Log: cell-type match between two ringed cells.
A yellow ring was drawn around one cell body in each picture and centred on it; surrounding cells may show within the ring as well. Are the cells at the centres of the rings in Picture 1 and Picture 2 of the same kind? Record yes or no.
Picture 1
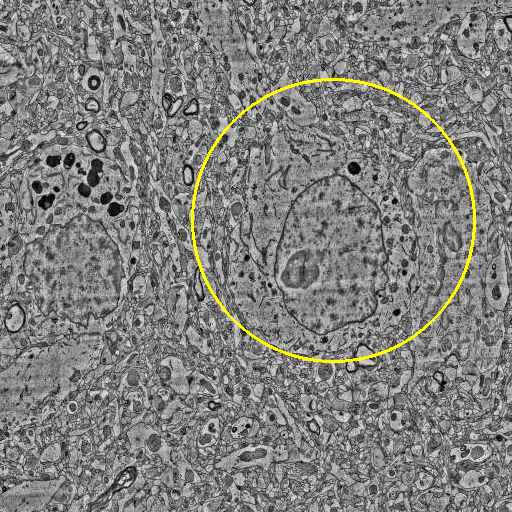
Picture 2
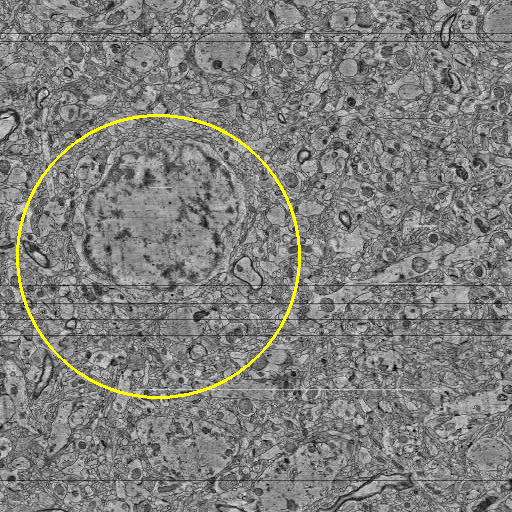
no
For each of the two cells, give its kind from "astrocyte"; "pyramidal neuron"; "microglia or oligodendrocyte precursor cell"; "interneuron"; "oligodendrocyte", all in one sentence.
The first picture has a pyramidal neuron in its ring, the second has an interneuron.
